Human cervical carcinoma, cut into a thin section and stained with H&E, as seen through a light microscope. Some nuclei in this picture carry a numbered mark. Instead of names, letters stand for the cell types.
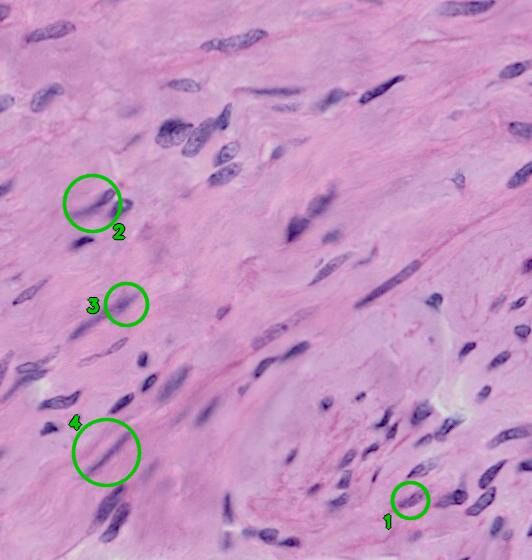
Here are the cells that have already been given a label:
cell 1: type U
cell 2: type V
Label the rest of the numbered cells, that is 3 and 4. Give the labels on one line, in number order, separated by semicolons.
type V; type V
